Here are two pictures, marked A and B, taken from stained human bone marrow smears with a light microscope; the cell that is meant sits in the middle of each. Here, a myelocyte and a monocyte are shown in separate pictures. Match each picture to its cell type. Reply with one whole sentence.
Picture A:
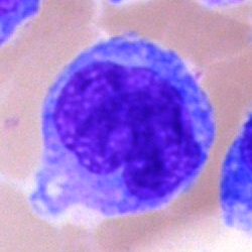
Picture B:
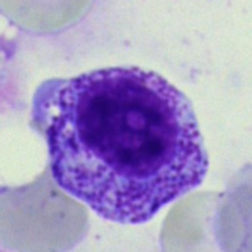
Picture B shows a myelocyte, while picture A shows a monocyte.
